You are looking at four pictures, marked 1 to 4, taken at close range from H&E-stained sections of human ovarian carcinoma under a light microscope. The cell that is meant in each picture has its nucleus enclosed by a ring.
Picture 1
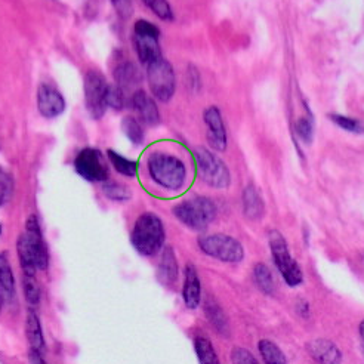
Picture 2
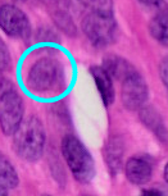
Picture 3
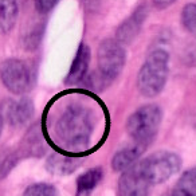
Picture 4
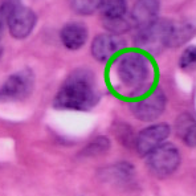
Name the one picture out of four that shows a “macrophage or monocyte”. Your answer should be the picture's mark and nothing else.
1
